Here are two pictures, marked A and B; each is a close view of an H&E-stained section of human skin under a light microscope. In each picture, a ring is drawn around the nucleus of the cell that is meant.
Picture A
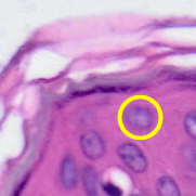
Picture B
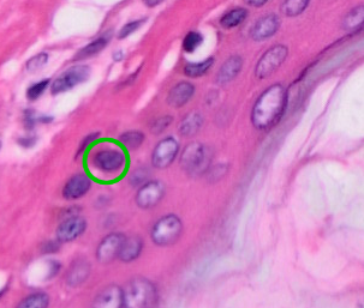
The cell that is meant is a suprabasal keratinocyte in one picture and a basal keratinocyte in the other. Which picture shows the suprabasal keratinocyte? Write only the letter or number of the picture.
A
